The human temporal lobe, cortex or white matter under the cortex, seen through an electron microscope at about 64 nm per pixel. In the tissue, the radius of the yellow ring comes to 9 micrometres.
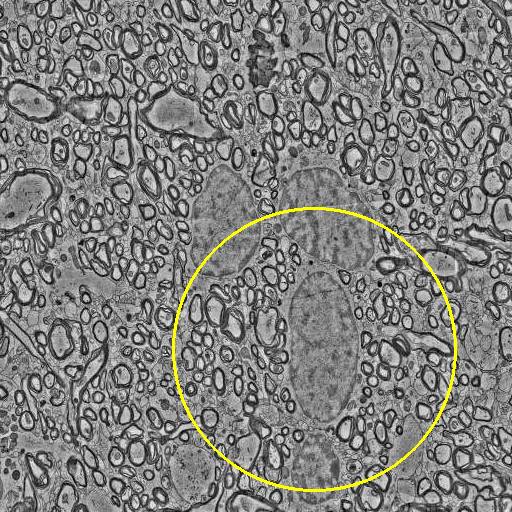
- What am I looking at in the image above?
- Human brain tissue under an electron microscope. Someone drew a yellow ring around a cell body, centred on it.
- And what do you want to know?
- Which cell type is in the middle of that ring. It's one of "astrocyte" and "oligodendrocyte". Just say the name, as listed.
oligodendrocyte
